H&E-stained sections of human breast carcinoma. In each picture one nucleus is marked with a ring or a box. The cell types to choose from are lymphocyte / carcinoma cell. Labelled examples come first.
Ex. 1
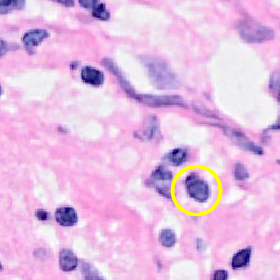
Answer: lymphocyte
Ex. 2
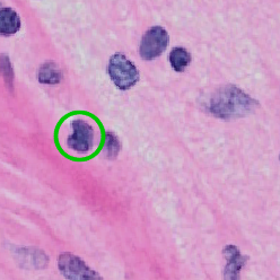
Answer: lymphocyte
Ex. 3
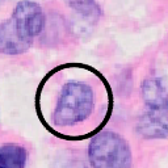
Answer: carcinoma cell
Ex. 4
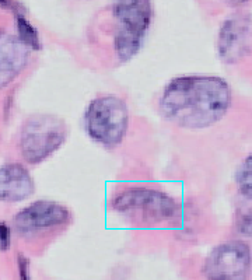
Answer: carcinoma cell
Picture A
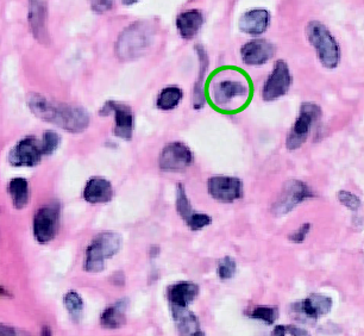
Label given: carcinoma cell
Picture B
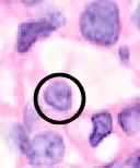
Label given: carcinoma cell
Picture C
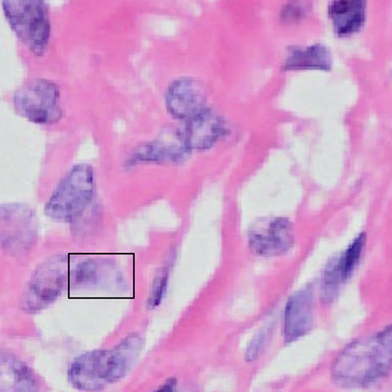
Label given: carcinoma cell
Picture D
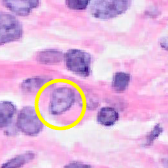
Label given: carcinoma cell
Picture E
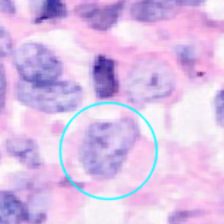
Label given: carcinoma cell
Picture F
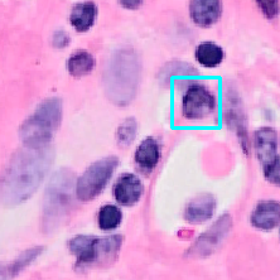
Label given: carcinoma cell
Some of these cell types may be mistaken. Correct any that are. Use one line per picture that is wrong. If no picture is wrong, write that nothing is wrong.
A: not carcinoma cell but lymphocyte
F: not carcinoma cell but lymphocyte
